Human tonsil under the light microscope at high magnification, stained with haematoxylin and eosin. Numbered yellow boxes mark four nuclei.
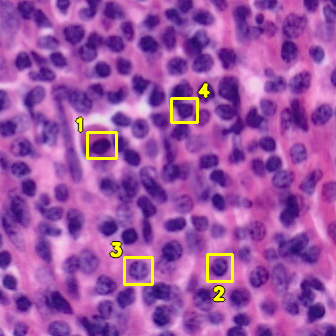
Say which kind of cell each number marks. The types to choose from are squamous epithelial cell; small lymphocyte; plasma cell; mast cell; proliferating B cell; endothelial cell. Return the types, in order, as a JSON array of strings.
["plasma cell", "plasma cell", "plasma cell", "small lymphocyte"]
